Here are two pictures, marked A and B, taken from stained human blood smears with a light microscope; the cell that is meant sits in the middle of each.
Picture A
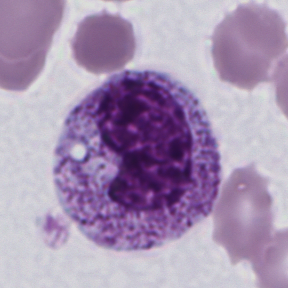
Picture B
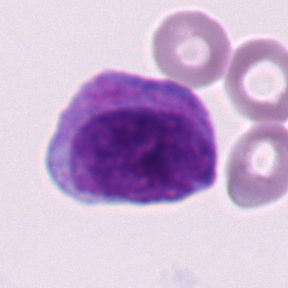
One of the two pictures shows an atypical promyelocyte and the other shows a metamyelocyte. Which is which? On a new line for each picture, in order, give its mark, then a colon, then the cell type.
A: metamyelocyte
B: atypical promyelocyte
